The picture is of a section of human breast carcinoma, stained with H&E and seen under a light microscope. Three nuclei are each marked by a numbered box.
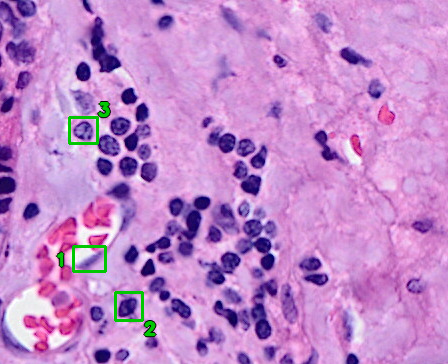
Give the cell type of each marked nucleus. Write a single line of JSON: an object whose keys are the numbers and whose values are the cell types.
{"1": "endothelial cell", "2": "lymphocyte", "3": "mast cell"}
